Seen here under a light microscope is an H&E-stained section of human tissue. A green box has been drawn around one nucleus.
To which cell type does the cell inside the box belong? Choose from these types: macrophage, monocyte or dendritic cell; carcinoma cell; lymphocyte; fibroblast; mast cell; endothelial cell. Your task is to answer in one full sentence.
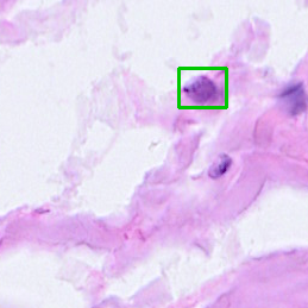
As far as its identity is concerned, the cell inside the box is a fibroblast.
